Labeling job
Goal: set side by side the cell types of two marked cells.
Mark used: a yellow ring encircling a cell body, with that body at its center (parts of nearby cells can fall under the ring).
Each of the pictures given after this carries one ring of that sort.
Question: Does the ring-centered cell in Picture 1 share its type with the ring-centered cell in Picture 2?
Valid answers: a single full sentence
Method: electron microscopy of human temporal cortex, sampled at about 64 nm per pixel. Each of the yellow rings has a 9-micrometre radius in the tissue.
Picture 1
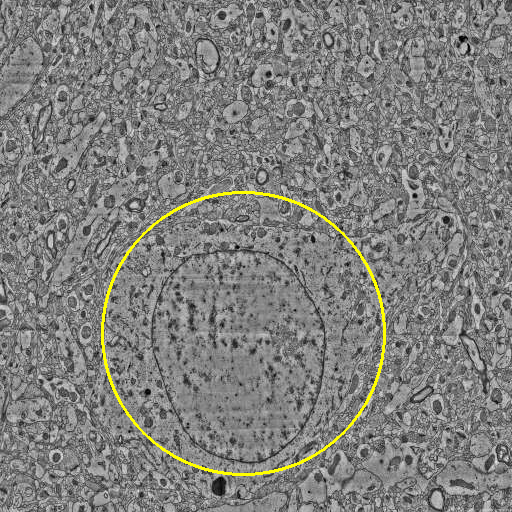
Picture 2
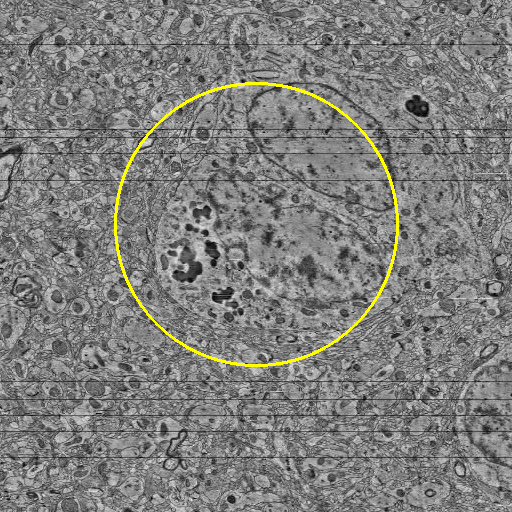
No, in Pictures 1 and 2 the cells at the ring centers have separate types.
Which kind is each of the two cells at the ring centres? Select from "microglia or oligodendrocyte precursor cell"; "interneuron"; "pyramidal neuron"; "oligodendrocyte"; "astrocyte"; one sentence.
The cell at the centre of the ring is a pyramidal neuron in the first picture and an interneuron in the second.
